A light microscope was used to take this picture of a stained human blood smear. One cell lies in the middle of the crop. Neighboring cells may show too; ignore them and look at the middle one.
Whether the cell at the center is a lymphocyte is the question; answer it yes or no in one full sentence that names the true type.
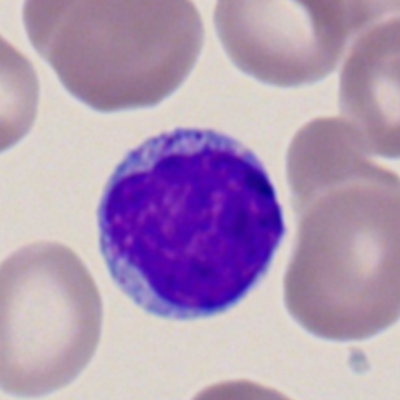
Yes, the cell shown in the middle is a lymphocyte.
